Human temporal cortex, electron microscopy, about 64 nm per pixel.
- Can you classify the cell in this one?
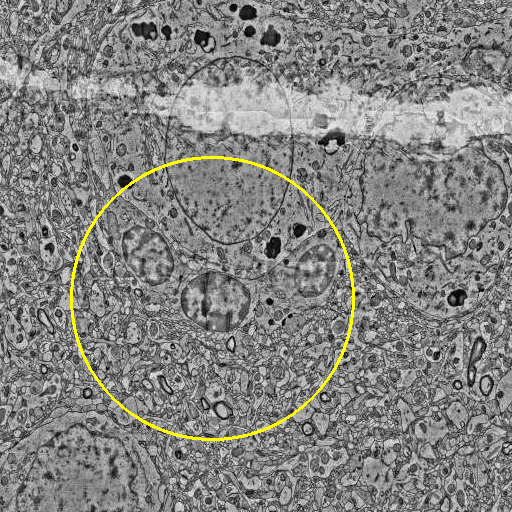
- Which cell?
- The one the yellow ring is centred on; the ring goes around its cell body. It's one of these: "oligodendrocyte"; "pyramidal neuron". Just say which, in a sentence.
The cell body in the ring belongs to an oligodendrocyte.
